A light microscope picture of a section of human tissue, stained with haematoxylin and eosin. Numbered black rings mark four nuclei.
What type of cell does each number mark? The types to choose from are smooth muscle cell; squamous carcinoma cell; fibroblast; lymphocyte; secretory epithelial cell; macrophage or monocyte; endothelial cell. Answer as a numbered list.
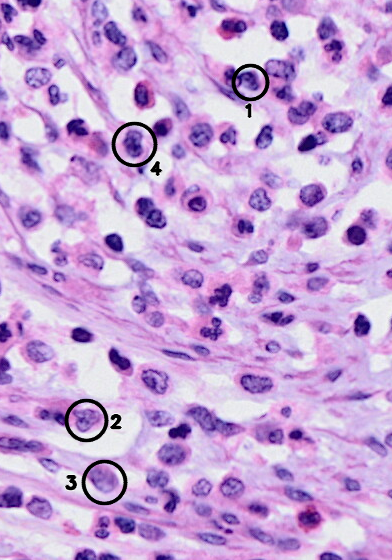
1. lymphocyte
2. macrophage or monocyte
3. macrophage or monocyte
4. lymphocyte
